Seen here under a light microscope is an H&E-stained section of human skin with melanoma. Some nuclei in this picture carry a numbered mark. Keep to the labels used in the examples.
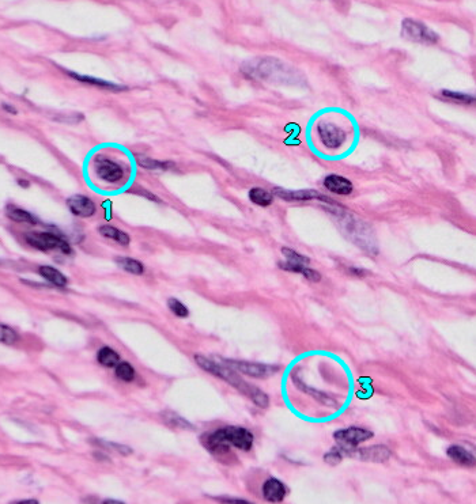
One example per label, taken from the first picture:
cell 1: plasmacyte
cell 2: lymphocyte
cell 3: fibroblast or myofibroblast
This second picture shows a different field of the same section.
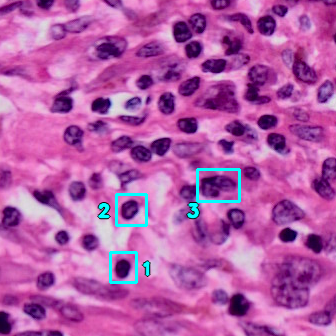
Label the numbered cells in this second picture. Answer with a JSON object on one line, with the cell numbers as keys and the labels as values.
{"1": "lymphocyte", "2": "lymphocyte", "3": "plasmacyte"}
